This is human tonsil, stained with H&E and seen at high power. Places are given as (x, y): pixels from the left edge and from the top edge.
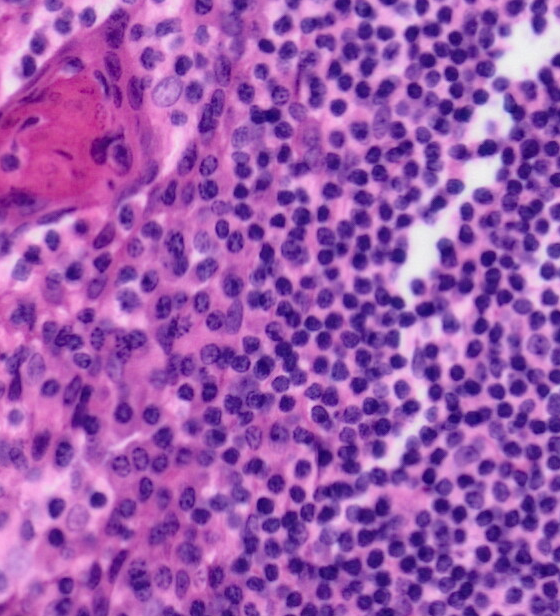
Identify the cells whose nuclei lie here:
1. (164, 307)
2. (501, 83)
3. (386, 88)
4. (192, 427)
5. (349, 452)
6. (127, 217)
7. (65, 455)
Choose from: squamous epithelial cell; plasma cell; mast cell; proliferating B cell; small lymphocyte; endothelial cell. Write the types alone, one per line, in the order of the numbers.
plasma cell
small lymphocyte
small lymphocyte
plasma cell
small lymphocyte
plasma cell
plasma cell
